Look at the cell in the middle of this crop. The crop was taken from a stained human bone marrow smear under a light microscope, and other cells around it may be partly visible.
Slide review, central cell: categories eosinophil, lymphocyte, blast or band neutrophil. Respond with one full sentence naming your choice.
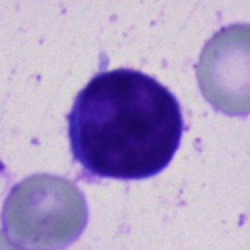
The identification for the central cell is a lymphocyte.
